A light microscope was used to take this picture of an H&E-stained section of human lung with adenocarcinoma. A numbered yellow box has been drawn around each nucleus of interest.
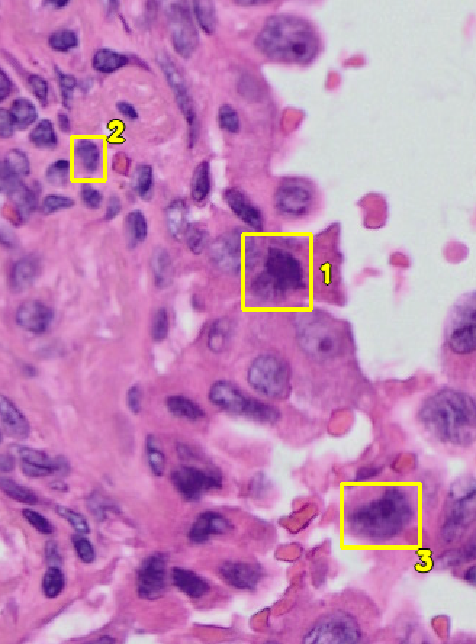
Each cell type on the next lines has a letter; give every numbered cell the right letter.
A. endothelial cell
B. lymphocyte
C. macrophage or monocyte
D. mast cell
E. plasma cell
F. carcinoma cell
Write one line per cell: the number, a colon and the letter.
1: F
2: B
3: F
